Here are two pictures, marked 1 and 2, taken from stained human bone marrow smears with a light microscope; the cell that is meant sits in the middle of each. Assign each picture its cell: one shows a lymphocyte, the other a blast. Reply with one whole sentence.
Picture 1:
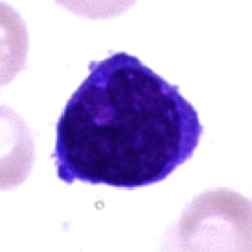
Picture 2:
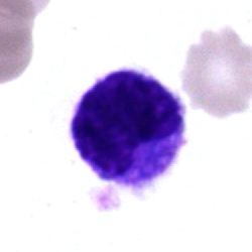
Picture 2 shows a lymphocyte, while picture 1 shows a blast.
